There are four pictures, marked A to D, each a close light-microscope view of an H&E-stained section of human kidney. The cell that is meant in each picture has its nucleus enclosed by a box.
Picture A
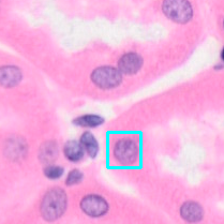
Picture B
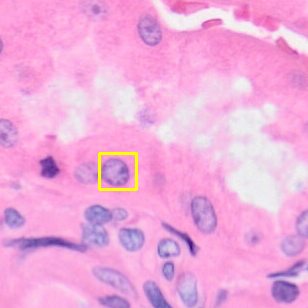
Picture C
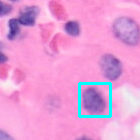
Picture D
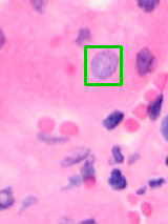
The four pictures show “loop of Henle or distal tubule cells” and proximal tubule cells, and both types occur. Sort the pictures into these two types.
A: proximal tubule cell
B: proximal tubule cell
C: loop of Henle or distal tubule cell
D: proximal tubule cell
